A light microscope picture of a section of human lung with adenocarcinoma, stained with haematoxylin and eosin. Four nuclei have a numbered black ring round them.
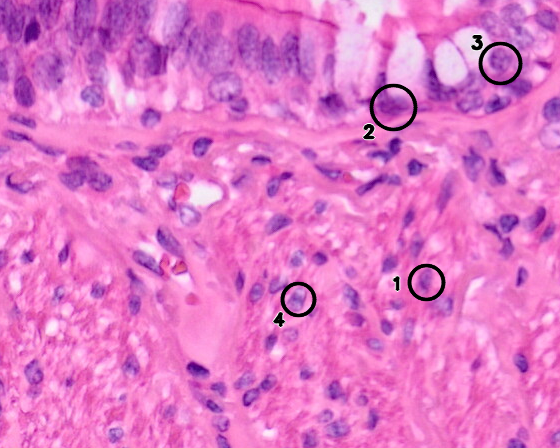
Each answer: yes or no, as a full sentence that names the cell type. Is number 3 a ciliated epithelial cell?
Yes, the cell that is numbered 3 is a ciliated epithelial cell.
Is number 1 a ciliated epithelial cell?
No, cell 1 is not a ciliated epithelial cell at all but a smooth muscle cell or pericyte.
